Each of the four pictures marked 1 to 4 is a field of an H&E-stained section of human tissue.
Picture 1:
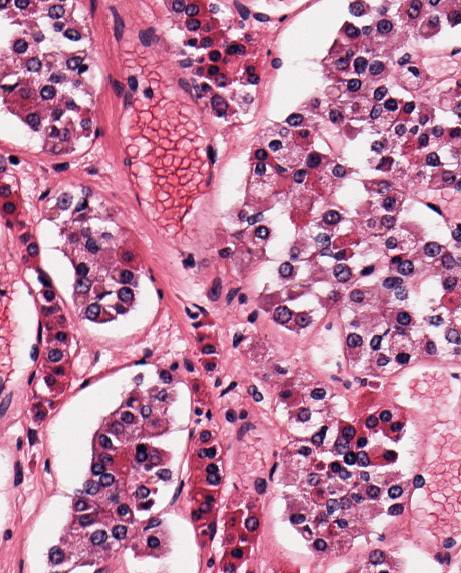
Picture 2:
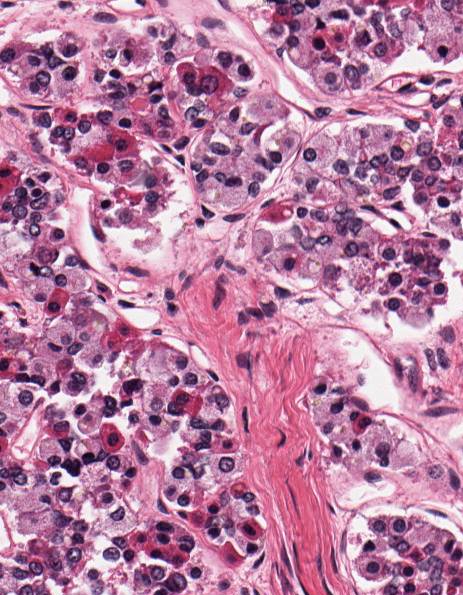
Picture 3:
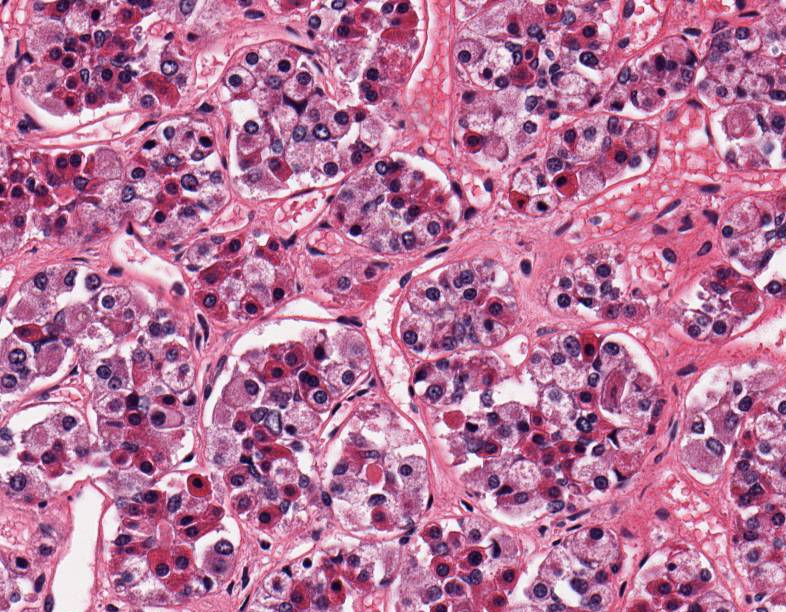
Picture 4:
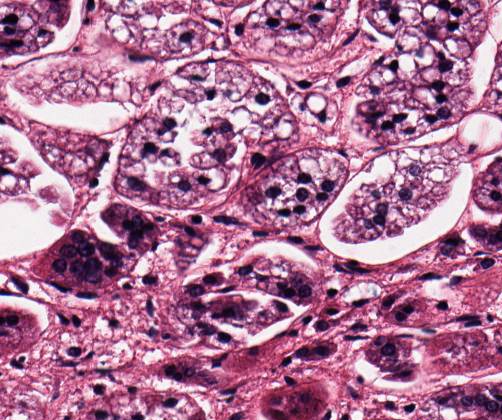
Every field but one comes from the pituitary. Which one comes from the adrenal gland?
4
